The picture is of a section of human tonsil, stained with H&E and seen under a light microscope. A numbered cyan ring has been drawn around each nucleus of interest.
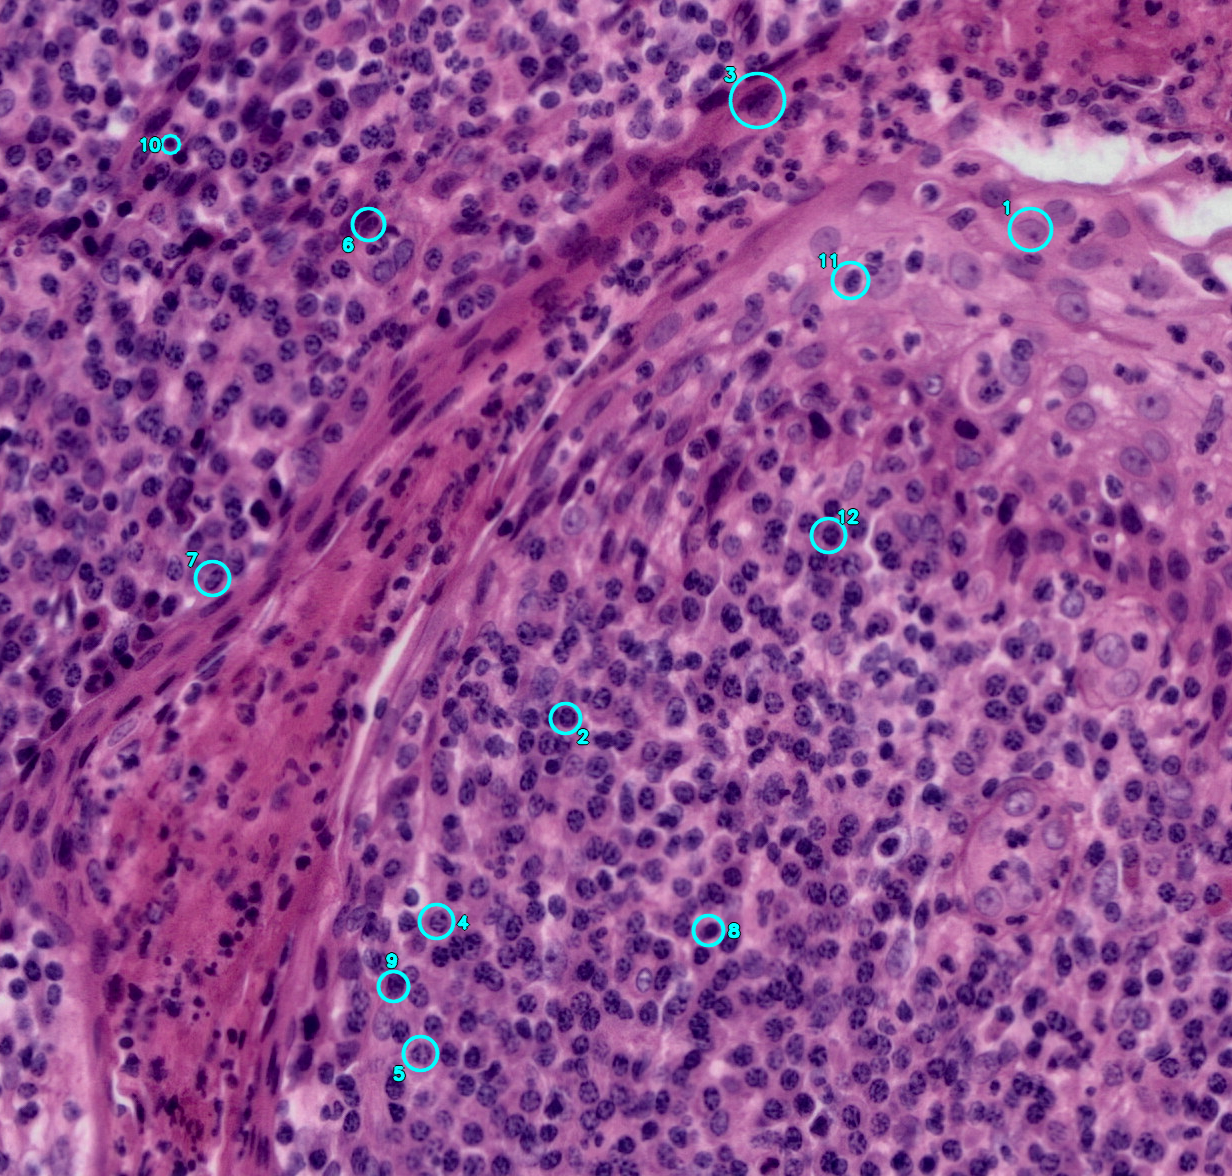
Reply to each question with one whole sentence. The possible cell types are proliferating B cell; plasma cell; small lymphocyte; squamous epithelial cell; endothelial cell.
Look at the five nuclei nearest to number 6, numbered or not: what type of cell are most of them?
Squamous epithelial cells make up most of the five nuclei closest to number 6.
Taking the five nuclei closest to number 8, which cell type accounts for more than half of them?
Plasma cells make up most of the five nuclei closest to number 8.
